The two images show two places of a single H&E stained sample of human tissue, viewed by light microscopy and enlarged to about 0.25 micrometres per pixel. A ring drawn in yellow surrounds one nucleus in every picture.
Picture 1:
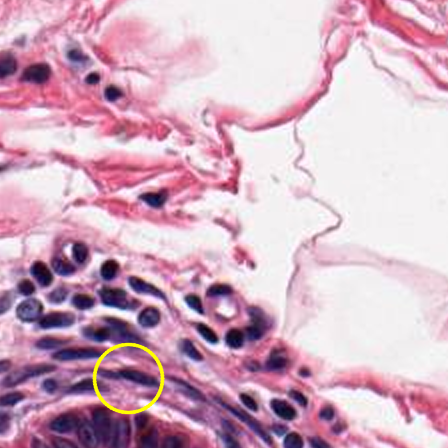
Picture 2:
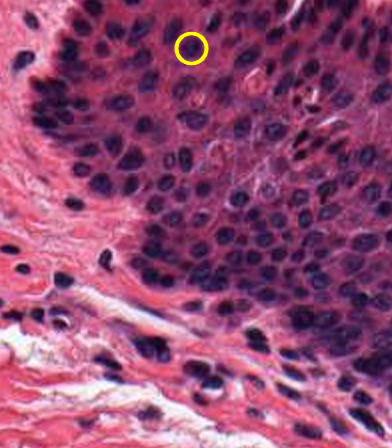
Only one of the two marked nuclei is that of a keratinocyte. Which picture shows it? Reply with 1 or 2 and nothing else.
2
